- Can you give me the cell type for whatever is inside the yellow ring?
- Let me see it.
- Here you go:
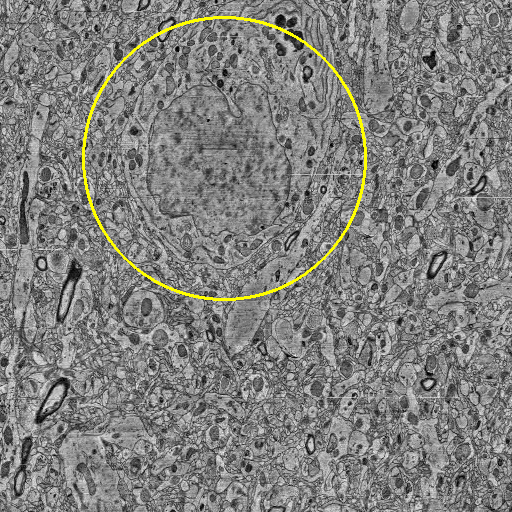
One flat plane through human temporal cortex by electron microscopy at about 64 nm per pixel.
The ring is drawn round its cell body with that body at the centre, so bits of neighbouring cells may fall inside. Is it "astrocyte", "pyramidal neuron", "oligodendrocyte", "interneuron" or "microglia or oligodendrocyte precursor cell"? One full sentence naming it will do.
The cell body in the middle of the ring in this picture belongs to an interneuron.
